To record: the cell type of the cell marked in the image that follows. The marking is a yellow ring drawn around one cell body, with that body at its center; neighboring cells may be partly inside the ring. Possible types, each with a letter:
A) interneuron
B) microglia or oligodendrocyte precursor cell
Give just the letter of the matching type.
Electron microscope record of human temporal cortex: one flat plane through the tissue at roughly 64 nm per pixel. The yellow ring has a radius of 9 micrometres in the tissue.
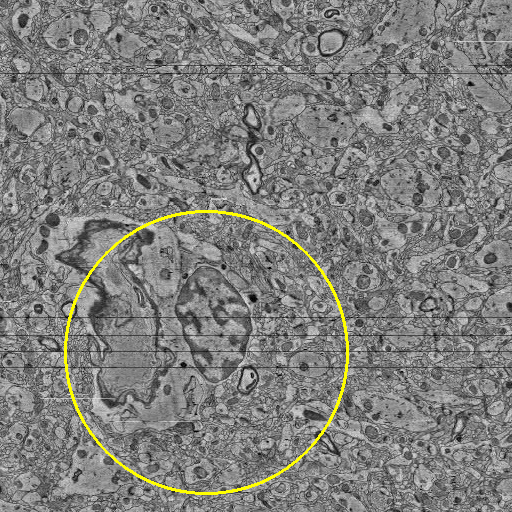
B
